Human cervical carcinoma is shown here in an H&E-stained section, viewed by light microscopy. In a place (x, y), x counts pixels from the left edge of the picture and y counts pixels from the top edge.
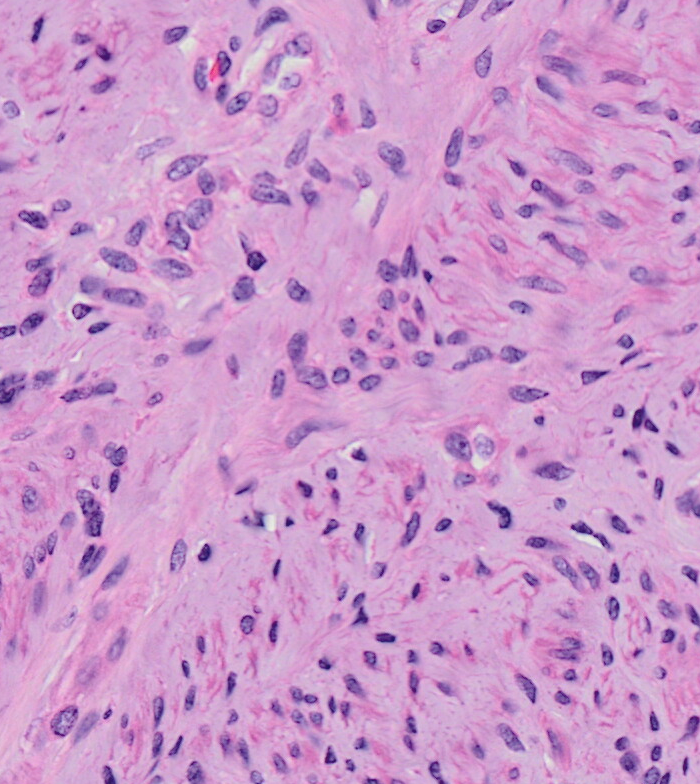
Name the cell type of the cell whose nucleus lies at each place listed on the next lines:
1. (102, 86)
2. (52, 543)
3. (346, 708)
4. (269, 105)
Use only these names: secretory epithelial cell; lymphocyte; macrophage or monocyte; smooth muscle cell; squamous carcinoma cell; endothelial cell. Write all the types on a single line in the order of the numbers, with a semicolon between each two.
smooth muscle cell; smooth muscle cell; smooth muscle cell; endothelial cell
